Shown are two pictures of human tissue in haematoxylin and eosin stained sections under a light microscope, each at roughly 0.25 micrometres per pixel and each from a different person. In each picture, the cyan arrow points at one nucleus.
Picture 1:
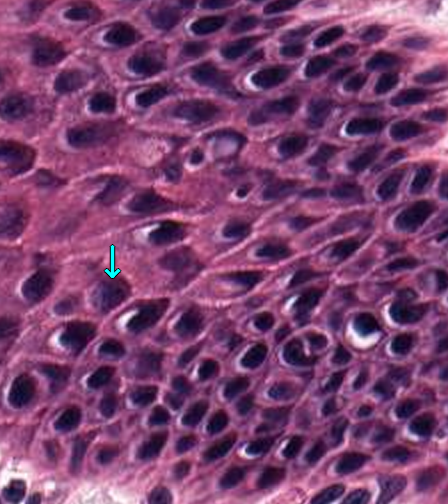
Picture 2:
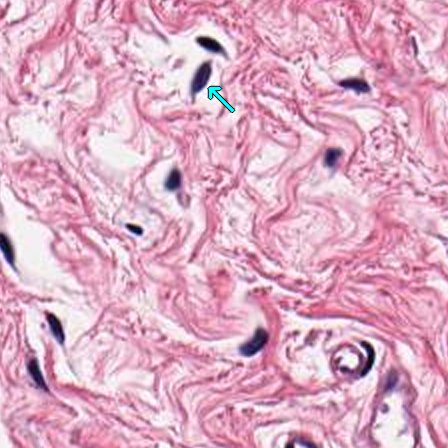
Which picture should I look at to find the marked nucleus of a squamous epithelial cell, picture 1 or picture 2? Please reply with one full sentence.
Whereas the other picture does not, picture 1 marks a nucleus belonging to a squamous epithelial cell.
